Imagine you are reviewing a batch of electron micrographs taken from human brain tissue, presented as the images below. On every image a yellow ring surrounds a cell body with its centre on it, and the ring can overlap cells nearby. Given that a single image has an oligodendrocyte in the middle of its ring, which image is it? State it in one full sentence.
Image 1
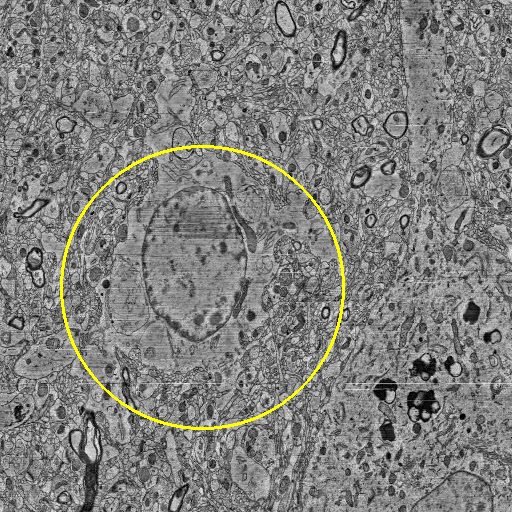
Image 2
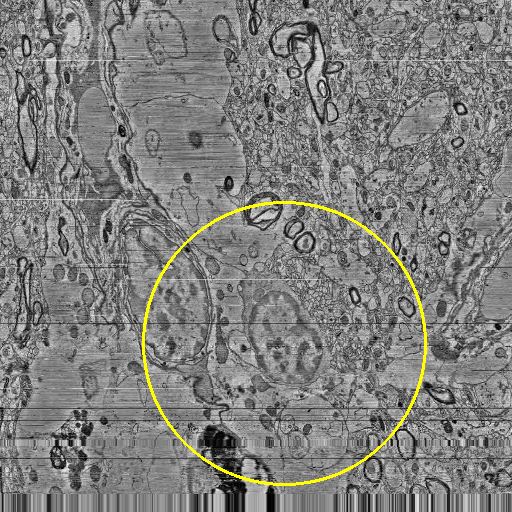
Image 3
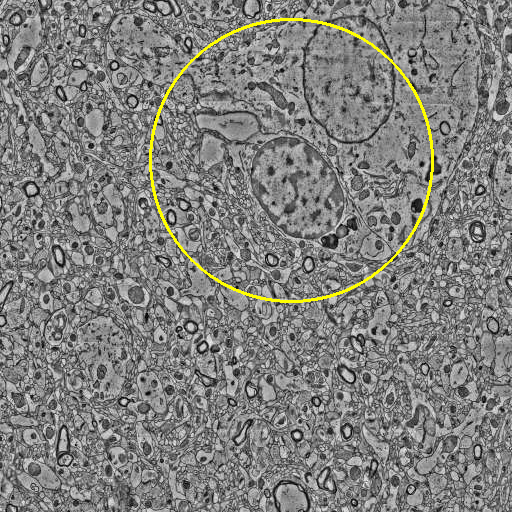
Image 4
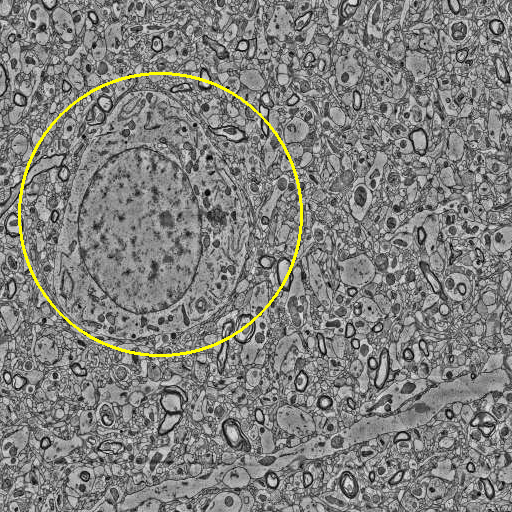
Of all the images, number 2 has the described cell at the centre of its ring.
